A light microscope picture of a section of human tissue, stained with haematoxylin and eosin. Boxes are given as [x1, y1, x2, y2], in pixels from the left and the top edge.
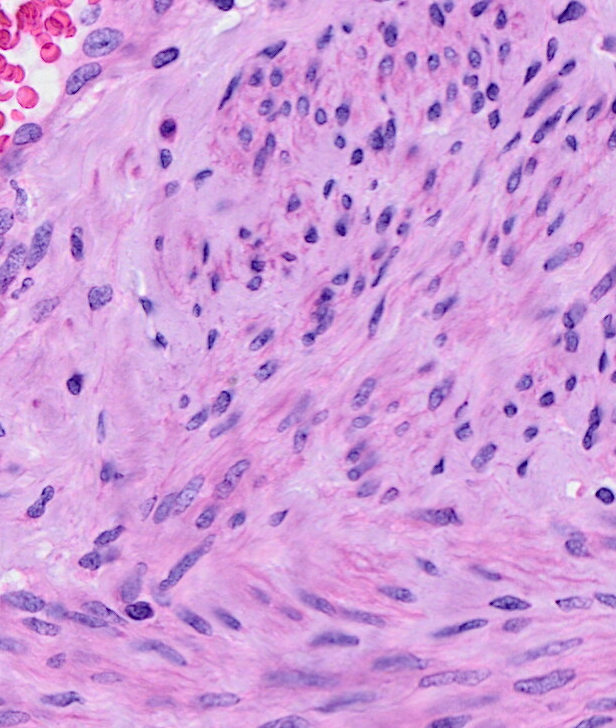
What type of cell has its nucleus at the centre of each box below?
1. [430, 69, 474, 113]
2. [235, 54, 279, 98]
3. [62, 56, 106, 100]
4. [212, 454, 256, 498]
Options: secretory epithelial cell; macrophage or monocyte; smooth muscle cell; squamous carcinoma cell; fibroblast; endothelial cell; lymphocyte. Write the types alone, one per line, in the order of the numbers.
smooth muscle cell
smooth muscle cell
endothelial cell
smooth muscle cell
